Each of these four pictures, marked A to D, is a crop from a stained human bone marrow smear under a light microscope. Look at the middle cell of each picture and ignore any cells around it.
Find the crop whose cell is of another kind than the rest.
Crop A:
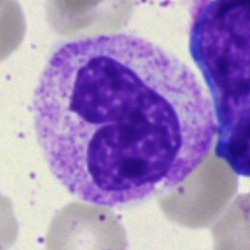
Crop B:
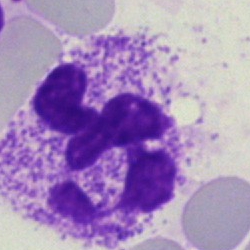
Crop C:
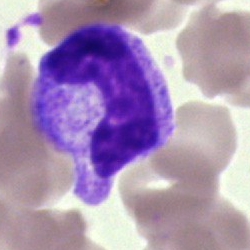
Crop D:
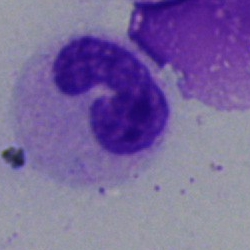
B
